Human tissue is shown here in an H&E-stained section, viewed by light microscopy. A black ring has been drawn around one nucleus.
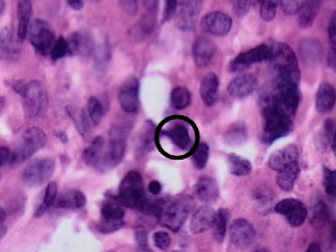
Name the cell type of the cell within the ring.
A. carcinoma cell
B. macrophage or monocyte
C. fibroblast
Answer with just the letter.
A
